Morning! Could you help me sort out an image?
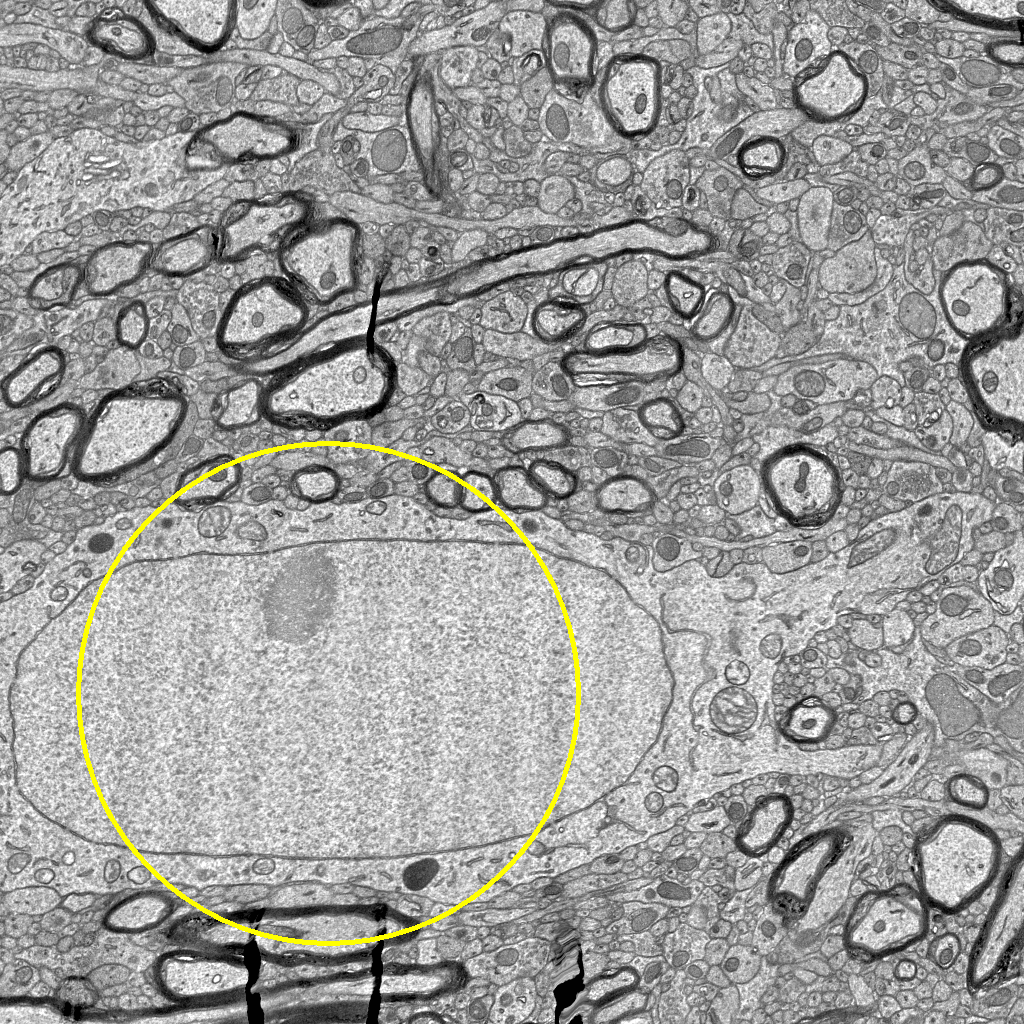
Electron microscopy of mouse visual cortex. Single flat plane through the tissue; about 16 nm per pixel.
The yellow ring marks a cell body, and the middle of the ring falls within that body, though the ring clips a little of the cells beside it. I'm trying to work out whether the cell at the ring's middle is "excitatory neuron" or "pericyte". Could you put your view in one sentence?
The cell body at the ring's middle is that of an excitatory neuron.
